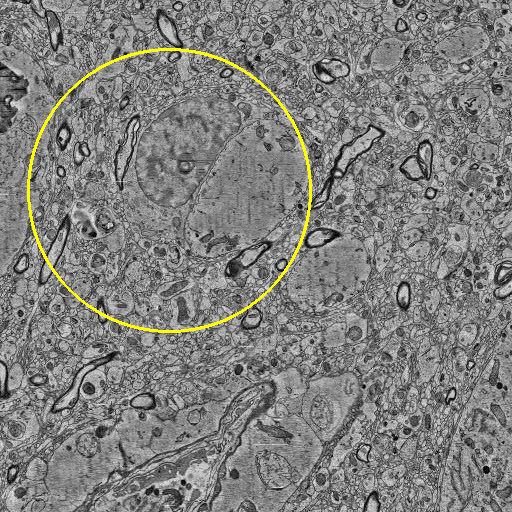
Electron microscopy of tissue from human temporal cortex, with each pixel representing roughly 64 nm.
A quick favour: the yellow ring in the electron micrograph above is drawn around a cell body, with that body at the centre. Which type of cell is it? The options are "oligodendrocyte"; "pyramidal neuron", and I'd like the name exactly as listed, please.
oligodendrocyte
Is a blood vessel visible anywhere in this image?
Yes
